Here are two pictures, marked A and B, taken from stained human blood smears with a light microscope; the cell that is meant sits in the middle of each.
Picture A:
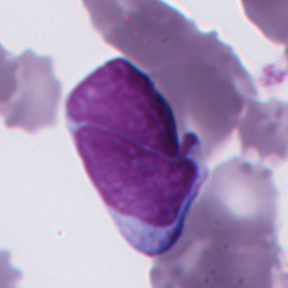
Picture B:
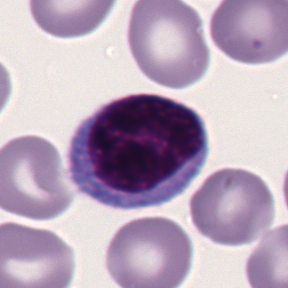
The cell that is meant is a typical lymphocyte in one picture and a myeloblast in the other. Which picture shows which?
A: myeloblast
B: typical lymphocyte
